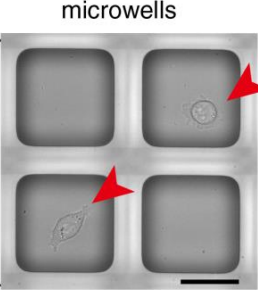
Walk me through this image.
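Four square wells with rounded corners are separated by pale walls, seen in transmitted light. Two wells each hold a single unstained cell: one is rounded with a visible central nucleus, the other is spread and spindle-shaped. The remaining two wells are empty.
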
